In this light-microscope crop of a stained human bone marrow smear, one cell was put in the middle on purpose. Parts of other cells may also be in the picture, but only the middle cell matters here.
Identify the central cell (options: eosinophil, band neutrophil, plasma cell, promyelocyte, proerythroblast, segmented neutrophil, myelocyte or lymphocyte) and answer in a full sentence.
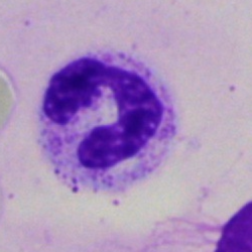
Whatever else lies nearby, the middle cell is a band neutrophil.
